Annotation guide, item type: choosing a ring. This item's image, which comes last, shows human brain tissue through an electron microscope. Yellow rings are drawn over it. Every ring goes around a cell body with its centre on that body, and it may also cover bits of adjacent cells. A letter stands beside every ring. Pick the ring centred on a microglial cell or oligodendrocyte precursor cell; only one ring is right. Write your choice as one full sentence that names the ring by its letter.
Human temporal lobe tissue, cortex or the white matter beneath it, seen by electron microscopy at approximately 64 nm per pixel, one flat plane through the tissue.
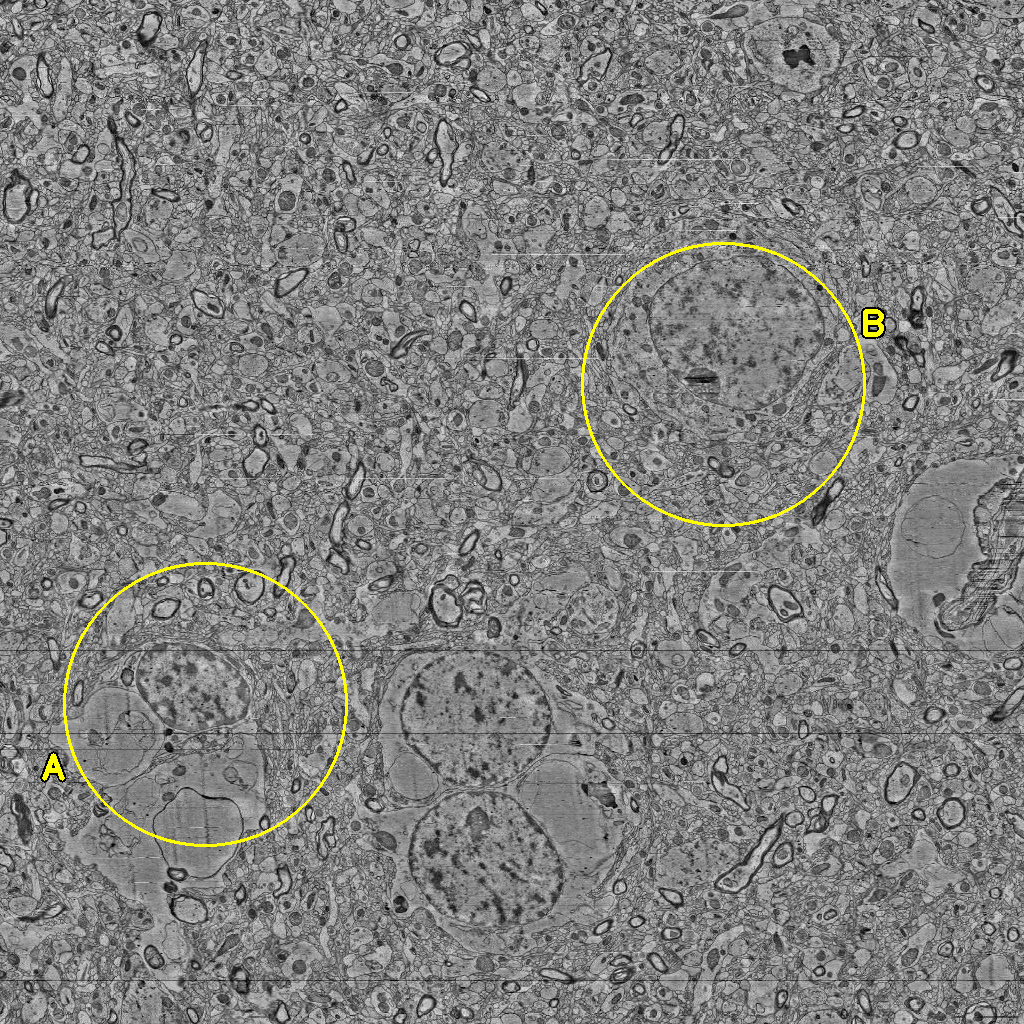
In the image, Ring A is centred on a cell of the kind requested.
